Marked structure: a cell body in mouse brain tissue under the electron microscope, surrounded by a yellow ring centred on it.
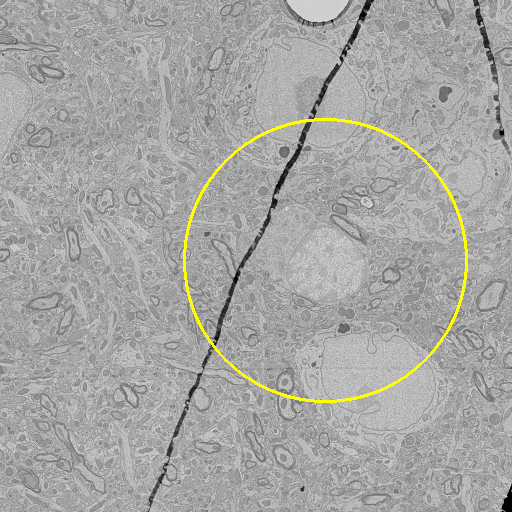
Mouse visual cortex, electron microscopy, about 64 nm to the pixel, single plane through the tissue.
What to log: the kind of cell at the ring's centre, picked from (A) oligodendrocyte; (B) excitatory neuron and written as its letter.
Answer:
A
